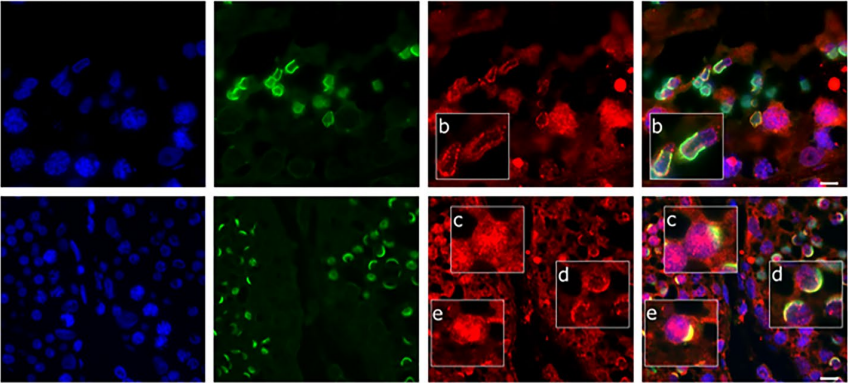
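Over one pole of each spermatid nucleus lies a green acrosome, which appears as a small cap or crescent in round cells and as a hood drawn over the tip in elongated cells. Red fluorescence fills the cytoplasm around the nuclei and outlines the cells, and it is especially bright around some of the acrosomal caps in the insets.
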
